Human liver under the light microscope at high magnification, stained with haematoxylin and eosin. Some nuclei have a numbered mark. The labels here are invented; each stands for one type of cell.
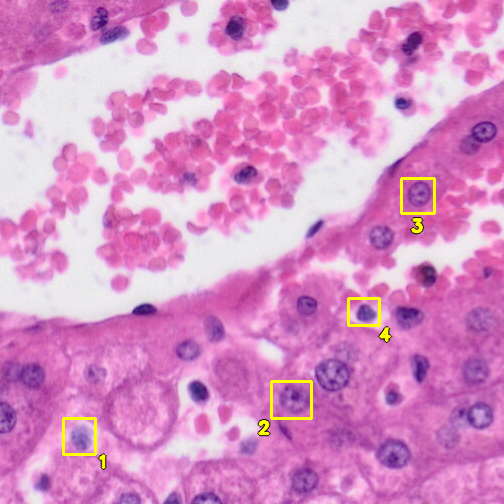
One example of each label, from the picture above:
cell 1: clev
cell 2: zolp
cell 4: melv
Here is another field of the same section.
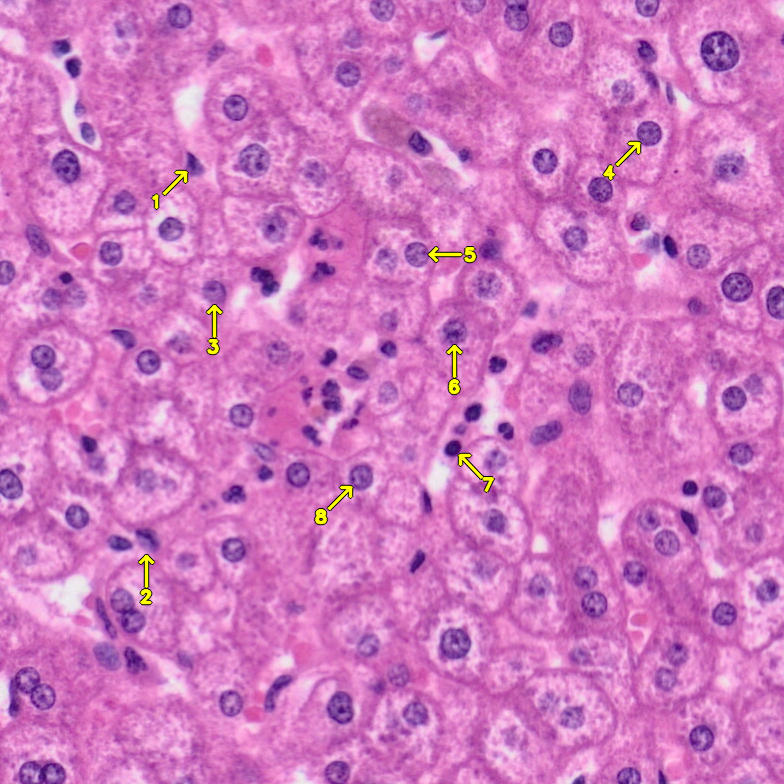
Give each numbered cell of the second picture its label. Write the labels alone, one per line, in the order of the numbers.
clev
clev
zolp
zolp
zolp
zolp
melv
zolp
